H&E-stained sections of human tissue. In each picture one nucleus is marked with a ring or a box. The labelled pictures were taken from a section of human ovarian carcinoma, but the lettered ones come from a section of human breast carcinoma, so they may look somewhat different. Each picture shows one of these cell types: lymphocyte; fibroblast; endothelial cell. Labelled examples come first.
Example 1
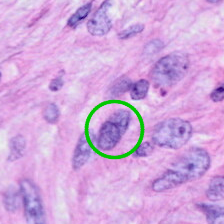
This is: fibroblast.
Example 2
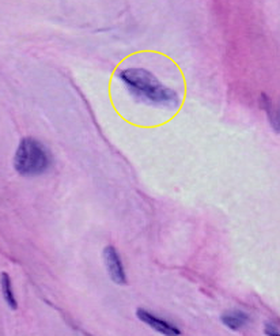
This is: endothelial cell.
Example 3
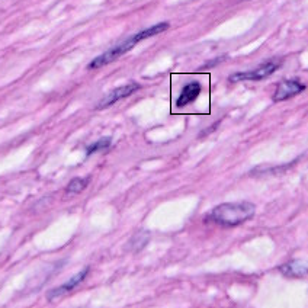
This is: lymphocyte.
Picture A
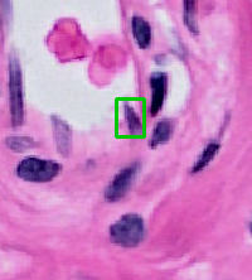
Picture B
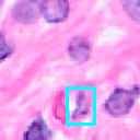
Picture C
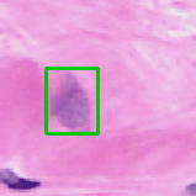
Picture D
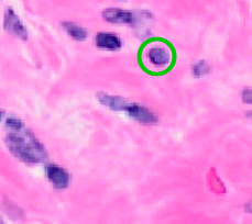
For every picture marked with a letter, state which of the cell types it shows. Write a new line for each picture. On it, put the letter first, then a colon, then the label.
A: endothelial cell.
B: endothelial cell.
C: fibroblast.
D: lymphocyte.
